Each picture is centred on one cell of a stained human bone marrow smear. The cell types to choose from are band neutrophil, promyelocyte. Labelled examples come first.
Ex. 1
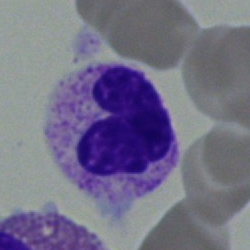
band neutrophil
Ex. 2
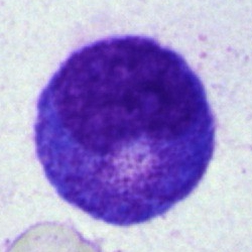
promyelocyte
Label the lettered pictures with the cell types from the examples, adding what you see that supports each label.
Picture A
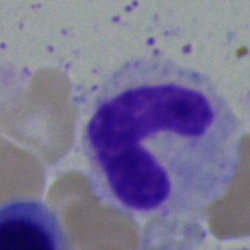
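band neutrophil. The nucleus is a single unsegmented curved band shaped like a letter C.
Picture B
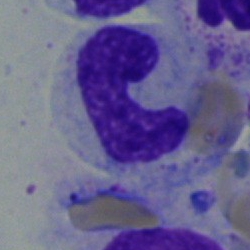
band neutrophil. The nucleus is a thick curved C shape whose open side faces right.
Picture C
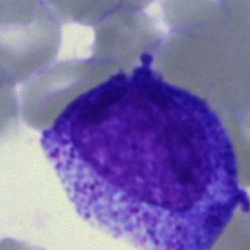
promyelocyte. The chromatin is deep purple and finely stippled rather than coarsely clumped.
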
